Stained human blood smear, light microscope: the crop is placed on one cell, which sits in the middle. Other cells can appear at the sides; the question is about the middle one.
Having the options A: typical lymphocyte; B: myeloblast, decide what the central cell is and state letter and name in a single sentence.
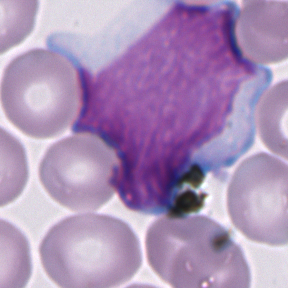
The cell in the middle is a myeloblast, so option B is correct.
